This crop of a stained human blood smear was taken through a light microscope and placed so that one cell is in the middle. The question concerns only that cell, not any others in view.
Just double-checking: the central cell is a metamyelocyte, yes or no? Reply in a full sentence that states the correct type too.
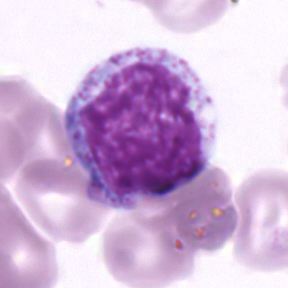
No, the cell centered in the crop is a myelocyte, not a metamyelocyte.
